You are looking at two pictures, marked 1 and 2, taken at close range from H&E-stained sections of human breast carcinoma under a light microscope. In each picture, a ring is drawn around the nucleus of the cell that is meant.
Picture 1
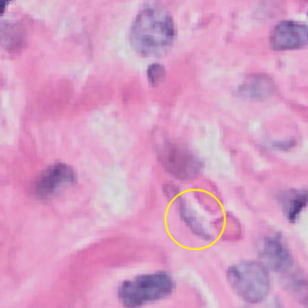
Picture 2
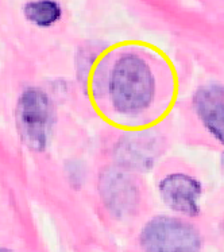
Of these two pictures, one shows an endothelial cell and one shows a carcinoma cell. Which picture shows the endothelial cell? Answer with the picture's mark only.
1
